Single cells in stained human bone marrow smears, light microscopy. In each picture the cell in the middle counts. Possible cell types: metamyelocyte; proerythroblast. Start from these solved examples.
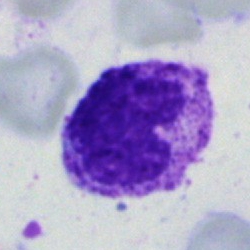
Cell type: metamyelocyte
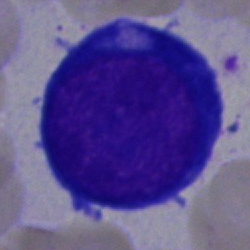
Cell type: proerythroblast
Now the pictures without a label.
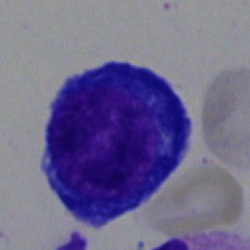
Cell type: proerythroblast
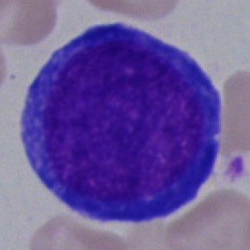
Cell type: proerythroblast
